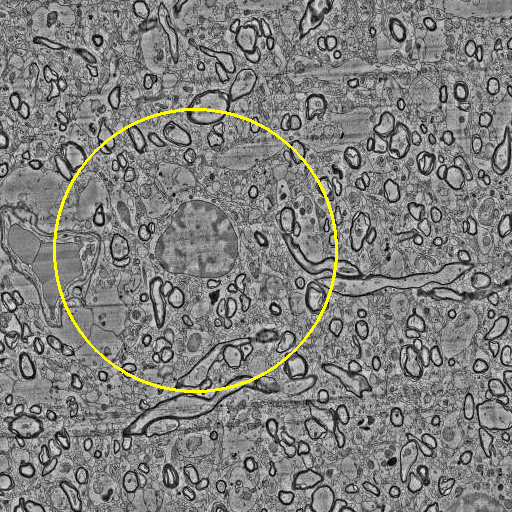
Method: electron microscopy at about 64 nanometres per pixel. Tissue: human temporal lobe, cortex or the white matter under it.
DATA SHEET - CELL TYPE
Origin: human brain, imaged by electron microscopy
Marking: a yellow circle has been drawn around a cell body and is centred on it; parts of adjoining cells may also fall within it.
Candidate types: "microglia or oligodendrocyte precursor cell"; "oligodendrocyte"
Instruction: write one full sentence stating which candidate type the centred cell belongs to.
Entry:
The cell body at the centre of the yellow ring in this micrograph belongs to a microglial cell or oligodendrocyte precursor cell.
